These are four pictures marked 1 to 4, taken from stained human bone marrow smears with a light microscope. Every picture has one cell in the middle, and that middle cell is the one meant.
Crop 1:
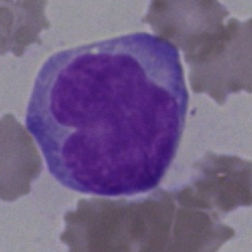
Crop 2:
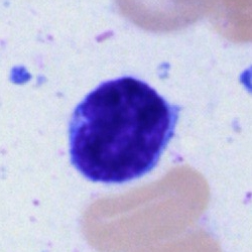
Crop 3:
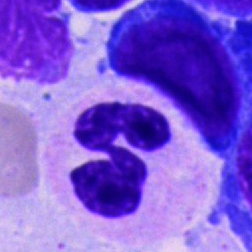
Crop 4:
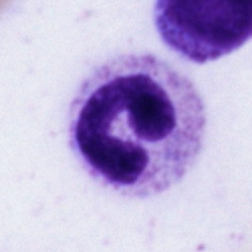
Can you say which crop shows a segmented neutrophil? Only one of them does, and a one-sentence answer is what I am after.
On review of the set, crop 3 is the one showing a segmented neutrophil.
